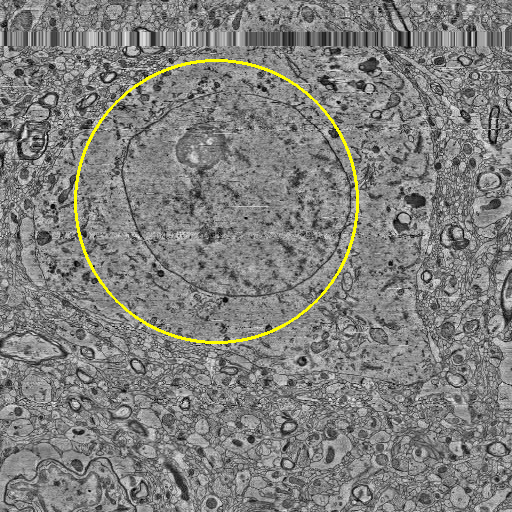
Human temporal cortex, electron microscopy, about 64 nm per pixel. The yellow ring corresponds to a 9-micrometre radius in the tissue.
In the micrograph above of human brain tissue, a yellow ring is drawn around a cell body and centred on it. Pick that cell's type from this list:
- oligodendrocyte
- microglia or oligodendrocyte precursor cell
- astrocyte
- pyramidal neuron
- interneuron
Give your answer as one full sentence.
Going by the list, a pyramidal neuron is the cell on which the yellow ring is centred.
